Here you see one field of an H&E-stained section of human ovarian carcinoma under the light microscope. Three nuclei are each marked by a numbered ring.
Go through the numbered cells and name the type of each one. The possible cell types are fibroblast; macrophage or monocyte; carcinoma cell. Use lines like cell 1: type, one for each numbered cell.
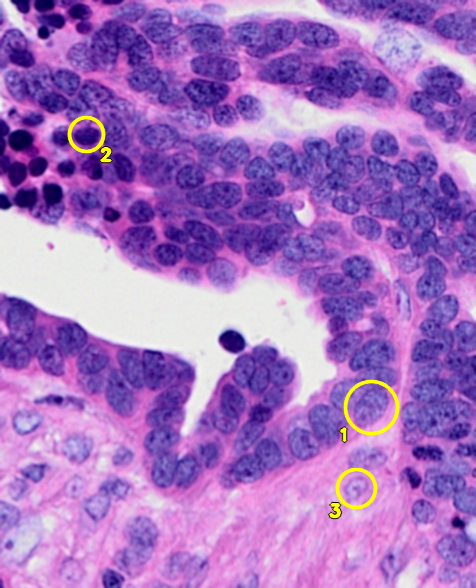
cell 1: carcinoma cell
cell 2: carcinoma cell
cell 3: fibroblast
